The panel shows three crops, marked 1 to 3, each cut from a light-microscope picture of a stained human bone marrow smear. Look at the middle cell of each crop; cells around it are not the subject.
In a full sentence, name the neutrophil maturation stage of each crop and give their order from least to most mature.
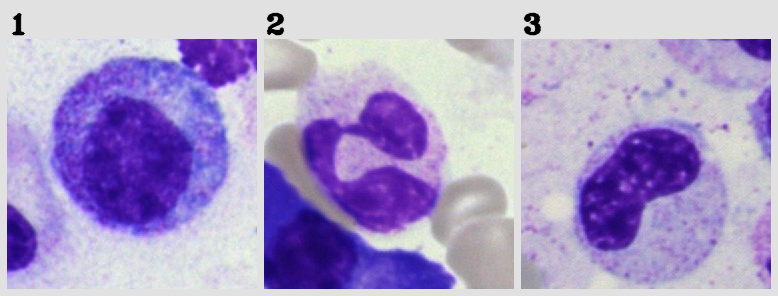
In sequence of increasing maturity, the order is crop 1 (a myelocyte), crop 3 (a band neutrophil) and crop 2 (a segmented neutrophil).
